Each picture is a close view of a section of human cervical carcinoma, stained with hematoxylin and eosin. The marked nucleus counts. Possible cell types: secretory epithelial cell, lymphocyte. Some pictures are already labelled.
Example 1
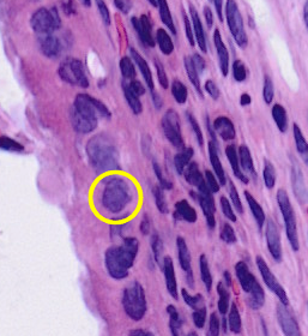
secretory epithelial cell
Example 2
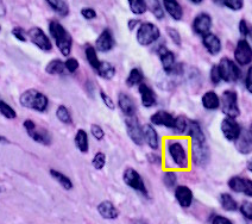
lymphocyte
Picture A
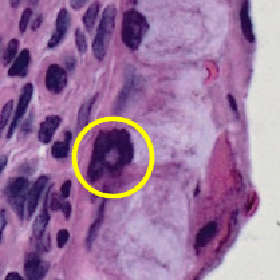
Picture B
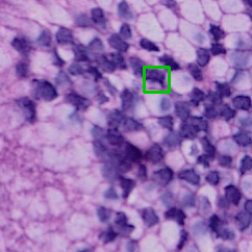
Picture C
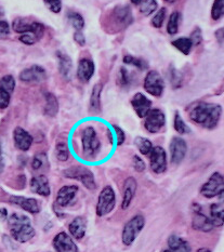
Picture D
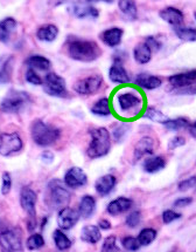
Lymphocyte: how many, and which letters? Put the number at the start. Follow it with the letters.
2, namely C, D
